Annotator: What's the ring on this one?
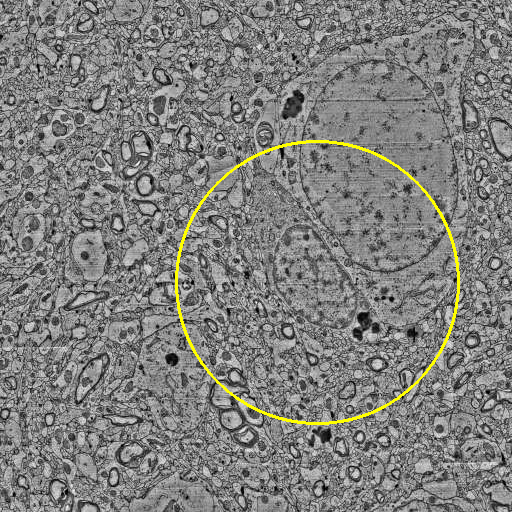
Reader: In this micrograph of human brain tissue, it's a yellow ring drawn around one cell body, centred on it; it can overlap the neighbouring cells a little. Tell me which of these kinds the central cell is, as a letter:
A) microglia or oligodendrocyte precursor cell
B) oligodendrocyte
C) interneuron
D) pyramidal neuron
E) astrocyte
B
